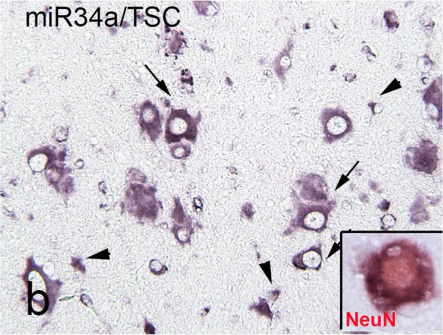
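This is malformed cortex in which large, abnormal neurons stand out with strongly purple-stained cytoplasm. These dysmorphic neurons have big, rounded or irregular cell bodies, much larger than ordinary neurons, and each holds a large pale nucleus surrounded by a clear halo. They lie scattered without the orderly layering of normal cortex. Between them are much smaller stained cells, the glial cells, with little cytoplasm. The background tissue is pale and somewhat vacuolated, and the small inset shows one such cell whose dark purple body is overlaid by red.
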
